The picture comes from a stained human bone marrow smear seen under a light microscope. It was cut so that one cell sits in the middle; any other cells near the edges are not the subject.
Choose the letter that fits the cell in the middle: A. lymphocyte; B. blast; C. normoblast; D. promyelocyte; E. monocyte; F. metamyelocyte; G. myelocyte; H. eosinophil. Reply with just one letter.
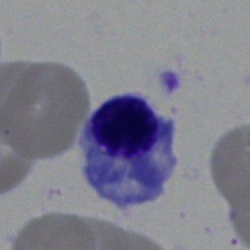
C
